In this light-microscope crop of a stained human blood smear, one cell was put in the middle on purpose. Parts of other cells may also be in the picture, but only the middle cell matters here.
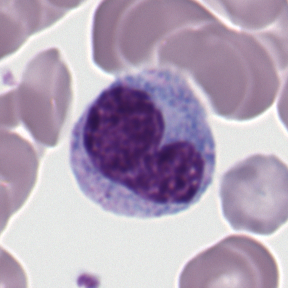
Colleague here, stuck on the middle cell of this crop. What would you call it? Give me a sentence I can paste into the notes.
The cell centred in this crop is categorized as a monocyte.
